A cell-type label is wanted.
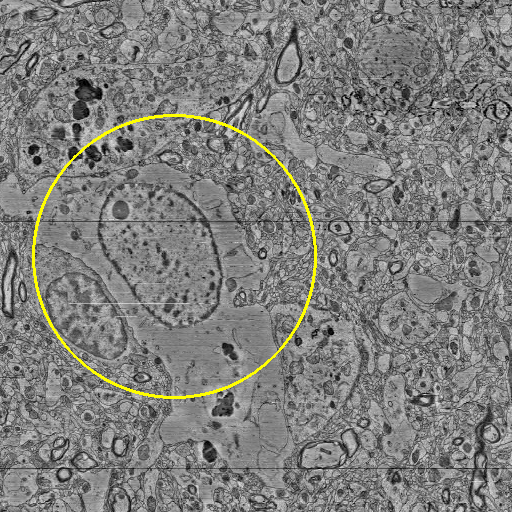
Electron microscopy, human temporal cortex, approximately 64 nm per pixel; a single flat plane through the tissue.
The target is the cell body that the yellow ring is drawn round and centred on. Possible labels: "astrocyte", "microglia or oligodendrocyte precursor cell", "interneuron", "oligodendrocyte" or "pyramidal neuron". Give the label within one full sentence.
Of the labels offered, the cell in the middle of the yellow ring is an astrocyte.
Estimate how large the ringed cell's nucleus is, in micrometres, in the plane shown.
In this plane the nucleus is clearly longer than it is wide: roughly 10 by 7 micrometres.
